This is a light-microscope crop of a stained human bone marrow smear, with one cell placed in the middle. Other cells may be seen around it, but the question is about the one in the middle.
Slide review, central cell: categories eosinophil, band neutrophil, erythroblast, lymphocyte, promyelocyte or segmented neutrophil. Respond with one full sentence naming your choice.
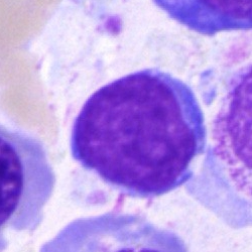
Centred in the crop is a lymphocyte.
